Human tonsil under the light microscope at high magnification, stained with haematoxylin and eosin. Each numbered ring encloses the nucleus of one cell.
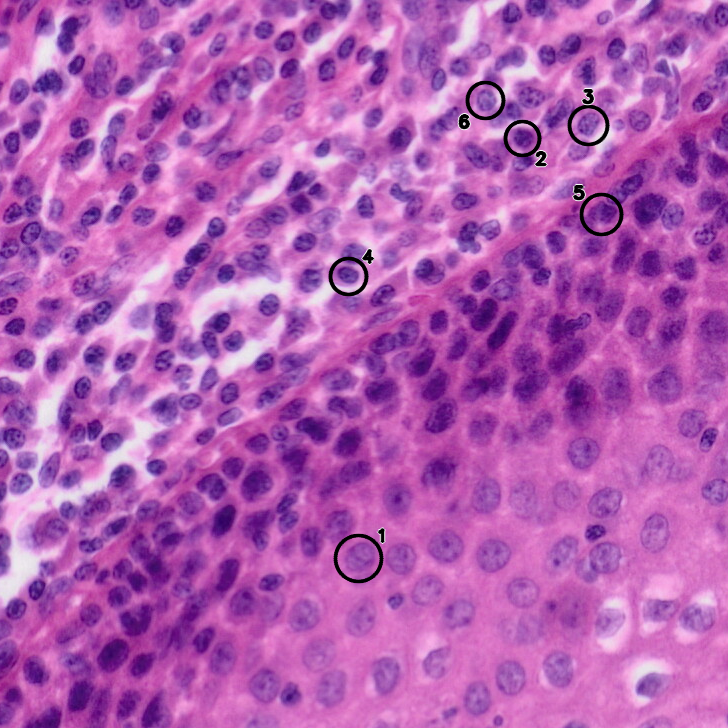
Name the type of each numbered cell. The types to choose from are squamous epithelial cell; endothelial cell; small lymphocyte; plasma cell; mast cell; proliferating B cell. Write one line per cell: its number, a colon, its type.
1: squamous epithelial cell
2: plasma cell
3: plasma cell
4: plasma cell
5: squamous epithelial cell
6: plasma cell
